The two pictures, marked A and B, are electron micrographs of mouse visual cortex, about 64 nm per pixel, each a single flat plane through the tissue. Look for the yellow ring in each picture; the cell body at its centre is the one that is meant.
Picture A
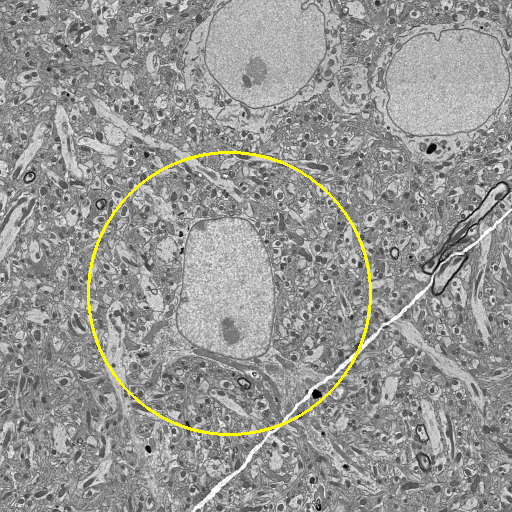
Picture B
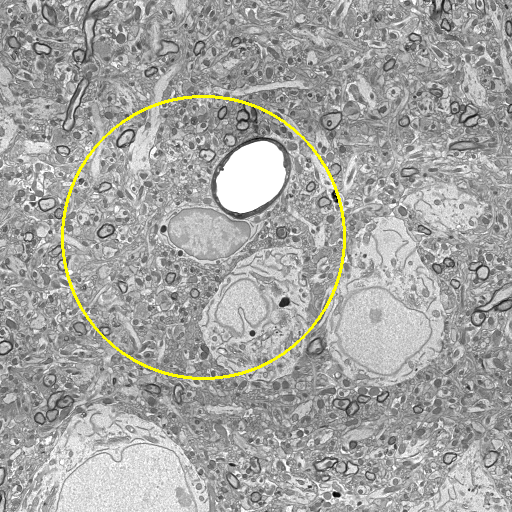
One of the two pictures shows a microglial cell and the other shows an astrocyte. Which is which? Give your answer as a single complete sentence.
It is picture A that shows an astrocyte, and picture B that shows a microglial cell.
